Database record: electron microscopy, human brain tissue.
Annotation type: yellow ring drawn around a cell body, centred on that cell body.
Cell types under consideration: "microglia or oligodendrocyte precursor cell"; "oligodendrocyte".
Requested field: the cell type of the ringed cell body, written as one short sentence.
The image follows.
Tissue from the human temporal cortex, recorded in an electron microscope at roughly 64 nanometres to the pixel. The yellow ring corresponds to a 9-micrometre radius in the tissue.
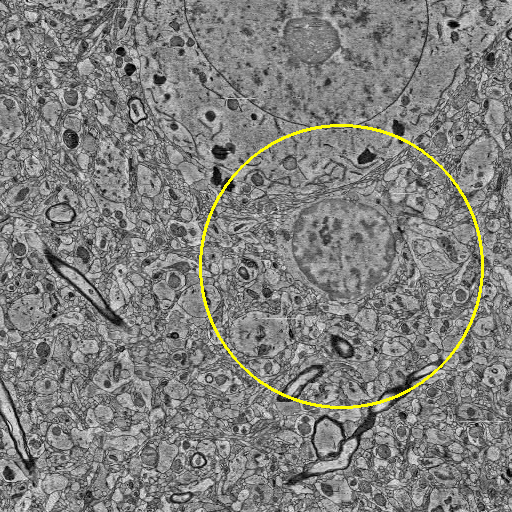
The ringed cell body represents an oligodendrocyte.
